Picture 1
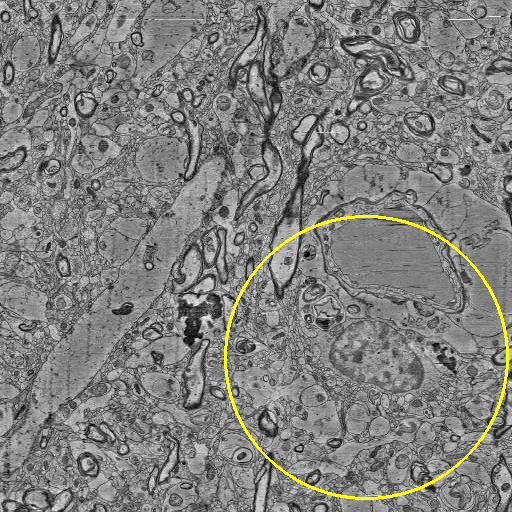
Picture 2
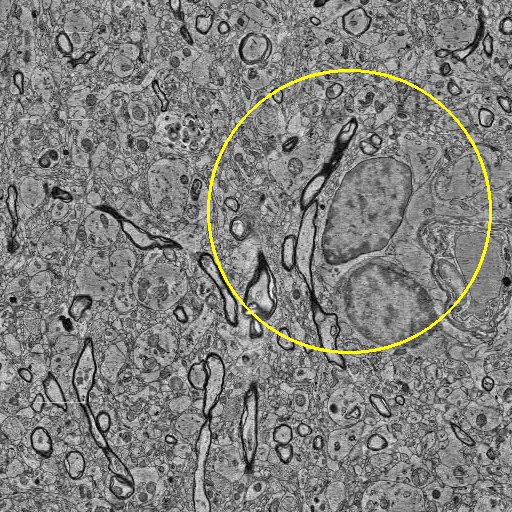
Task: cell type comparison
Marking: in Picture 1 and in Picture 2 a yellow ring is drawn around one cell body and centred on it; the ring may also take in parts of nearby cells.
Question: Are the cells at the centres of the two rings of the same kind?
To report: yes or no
no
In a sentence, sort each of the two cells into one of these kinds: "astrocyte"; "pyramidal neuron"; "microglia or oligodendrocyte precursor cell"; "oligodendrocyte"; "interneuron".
The first of the two cells is an oligodendrocyte, and the second is a microglial cell or oligodendrocyte precursor cell.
